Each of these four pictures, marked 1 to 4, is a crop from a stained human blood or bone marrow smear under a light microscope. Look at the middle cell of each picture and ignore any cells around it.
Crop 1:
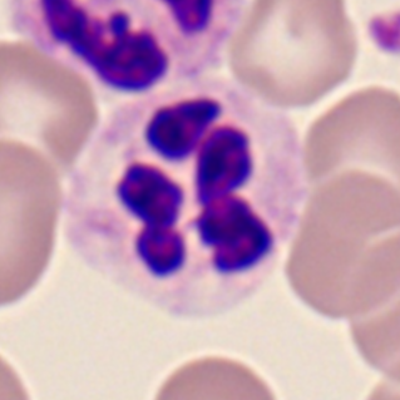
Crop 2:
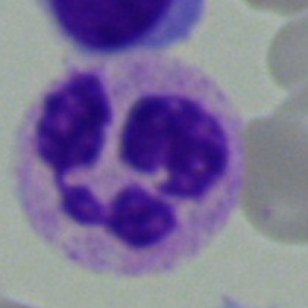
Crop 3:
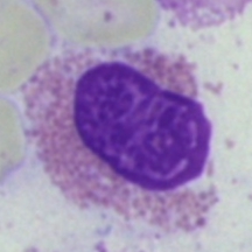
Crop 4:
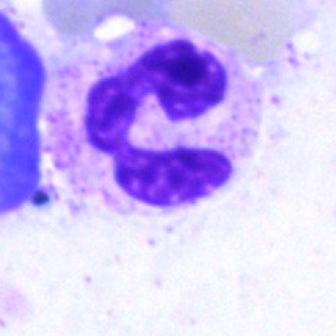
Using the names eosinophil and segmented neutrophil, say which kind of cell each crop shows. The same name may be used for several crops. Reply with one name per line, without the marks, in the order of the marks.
segmented neutrophil
segmented neutrophil
eosinophil
segmented neutrophil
